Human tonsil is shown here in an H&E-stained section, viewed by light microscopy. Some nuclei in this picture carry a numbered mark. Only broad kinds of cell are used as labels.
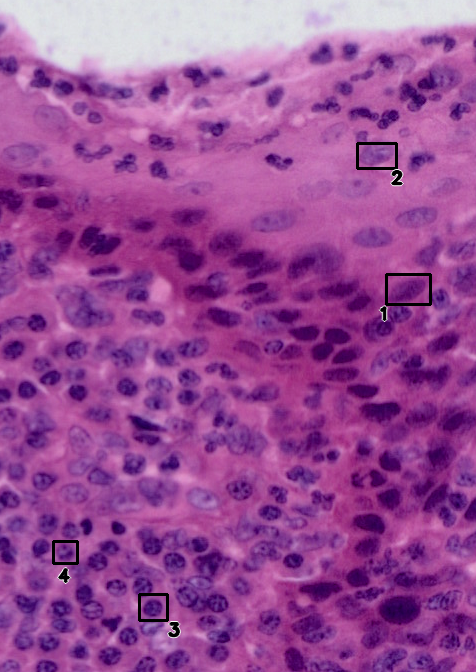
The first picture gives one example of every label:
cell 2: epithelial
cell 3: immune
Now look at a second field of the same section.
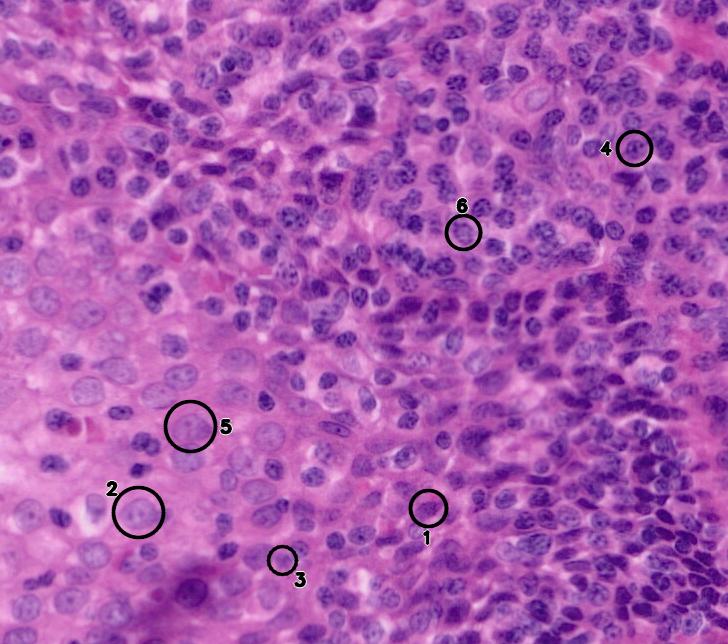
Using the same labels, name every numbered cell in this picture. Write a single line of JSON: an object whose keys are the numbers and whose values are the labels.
{"1": "epithelial", "2": "epithelial", "3": "epithelial", "4": "immune", "5": "epithelial", "6": "immune"}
